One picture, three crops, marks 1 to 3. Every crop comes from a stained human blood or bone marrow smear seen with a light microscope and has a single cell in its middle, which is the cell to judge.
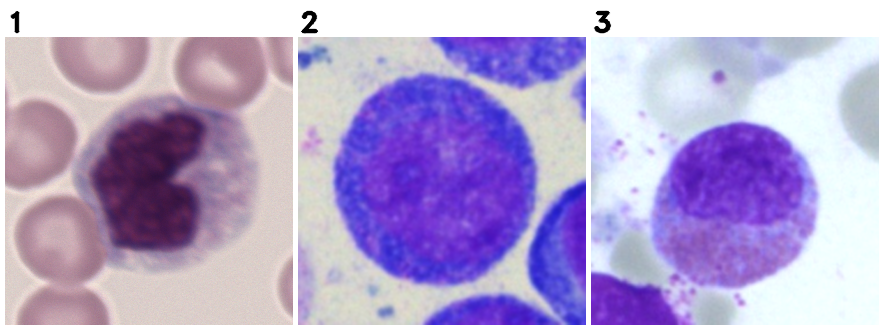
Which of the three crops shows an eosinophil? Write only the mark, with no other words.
3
